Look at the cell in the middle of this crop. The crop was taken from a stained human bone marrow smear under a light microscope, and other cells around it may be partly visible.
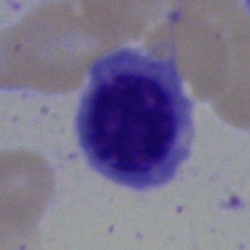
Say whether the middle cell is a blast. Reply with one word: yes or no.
no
